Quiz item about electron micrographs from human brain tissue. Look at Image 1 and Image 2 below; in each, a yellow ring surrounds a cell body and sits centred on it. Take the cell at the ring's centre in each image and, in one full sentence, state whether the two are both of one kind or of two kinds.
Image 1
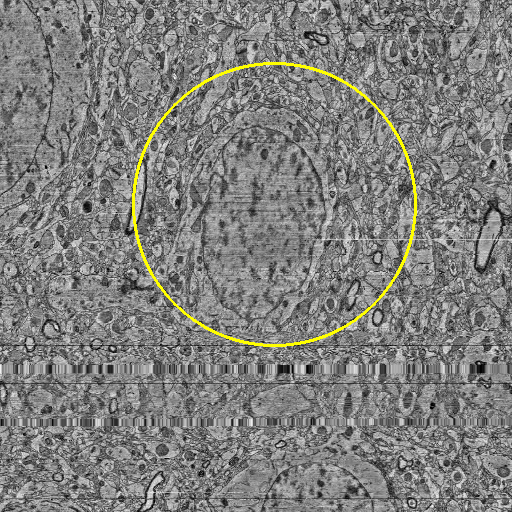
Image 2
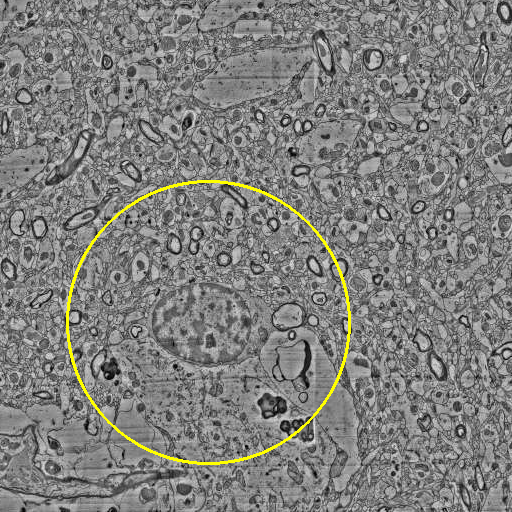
In Image 1 and Image 2, the cells at the ring centres are of two kinds.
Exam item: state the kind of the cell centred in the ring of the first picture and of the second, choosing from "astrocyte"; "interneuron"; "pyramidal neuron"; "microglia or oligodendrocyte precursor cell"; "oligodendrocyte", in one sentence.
The first picture shows an interneuron at the ring centre and the second shows an oligodendrocyte.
